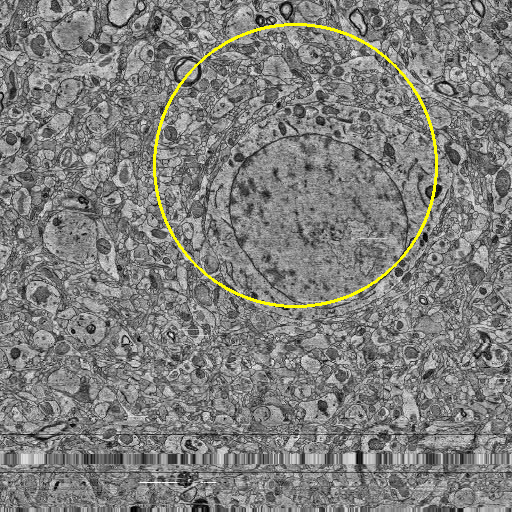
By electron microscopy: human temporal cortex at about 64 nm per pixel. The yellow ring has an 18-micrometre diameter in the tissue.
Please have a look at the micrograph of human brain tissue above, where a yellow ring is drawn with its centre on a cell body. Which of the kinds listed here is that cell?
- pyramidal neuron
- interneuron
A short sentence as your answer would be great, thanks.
At the centre of the ring sits a pyramidal neuron.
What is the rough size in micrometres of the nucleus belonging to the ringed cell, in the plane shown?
About 12 micrometres across, as seen in this plane.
